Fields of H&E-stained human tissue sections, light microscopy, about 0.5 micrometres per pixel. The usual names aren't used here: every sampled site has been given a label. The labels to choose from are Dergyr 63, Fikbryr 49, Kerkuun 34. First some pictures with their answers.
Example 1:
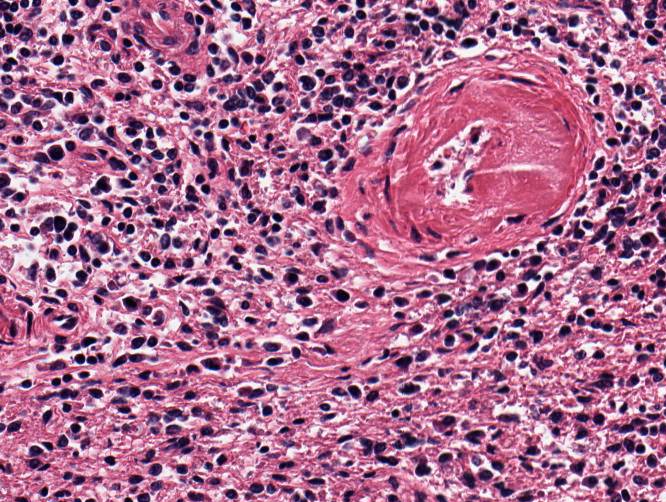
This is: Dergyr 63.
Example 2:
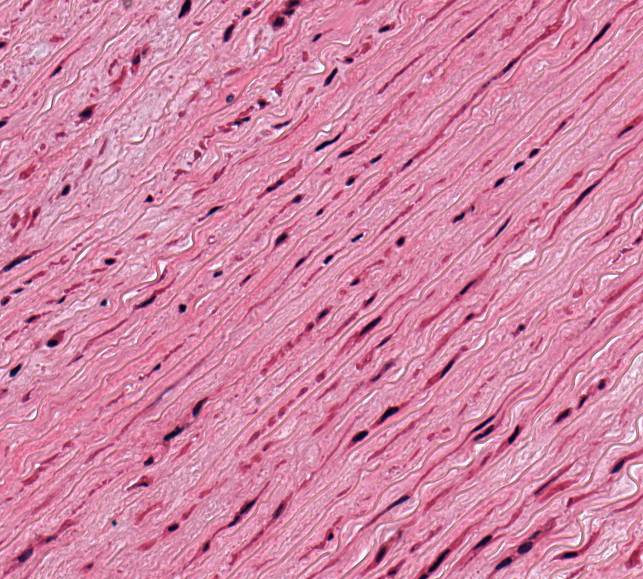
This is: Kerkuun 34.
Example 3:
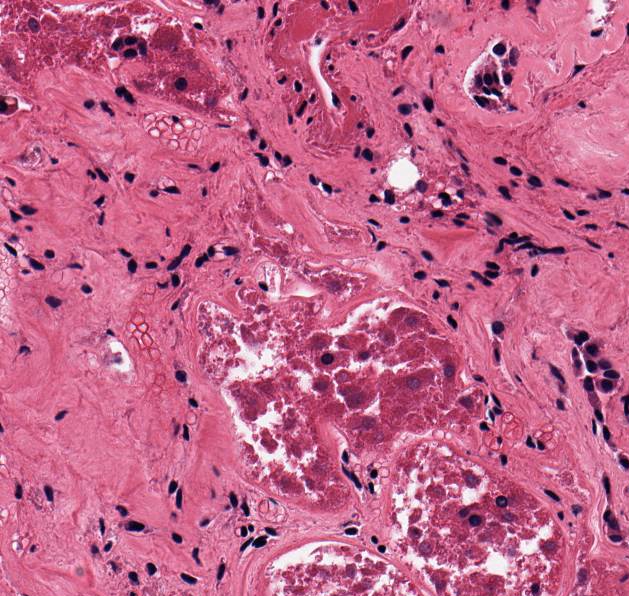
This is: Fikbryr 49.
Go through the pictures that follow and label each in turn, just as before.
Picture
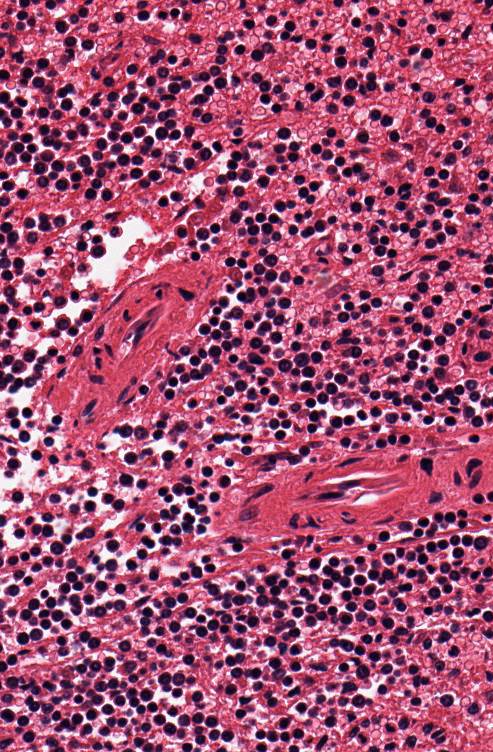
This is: Dergyr 63.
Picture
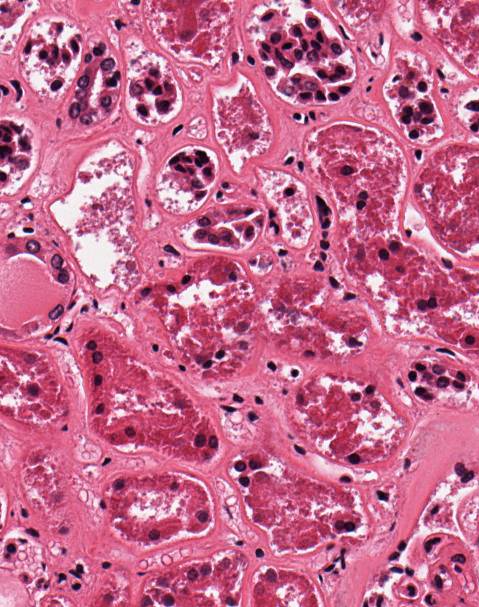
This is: Fikbryr 49.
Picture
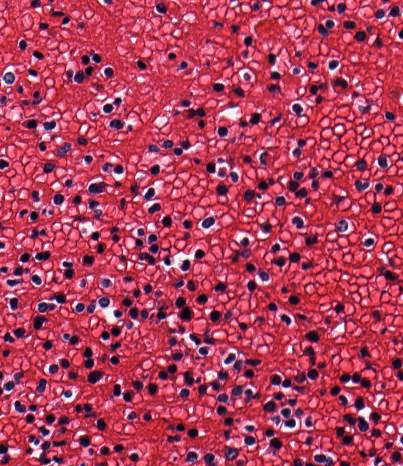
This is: Dergyr 63.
